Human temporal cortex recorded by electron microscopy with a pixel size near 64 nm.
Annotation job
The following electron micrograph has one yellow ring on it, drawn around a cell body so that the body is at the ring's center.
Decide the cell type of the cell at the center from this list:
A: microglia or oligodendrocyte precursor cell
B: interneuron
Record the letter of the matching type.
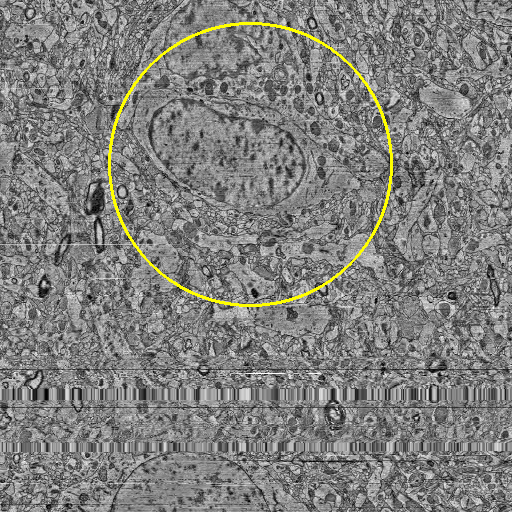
A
